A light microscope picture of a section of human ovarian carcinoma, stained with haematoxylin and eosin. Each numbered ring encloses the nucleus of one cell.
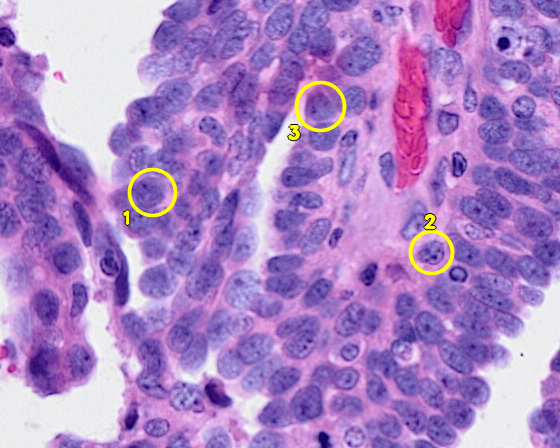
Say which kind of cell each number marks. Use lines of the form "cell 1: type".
cell 1: carcinoma cell
cell 2: macrophage or monocyte
cell 3: carcinoma cell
